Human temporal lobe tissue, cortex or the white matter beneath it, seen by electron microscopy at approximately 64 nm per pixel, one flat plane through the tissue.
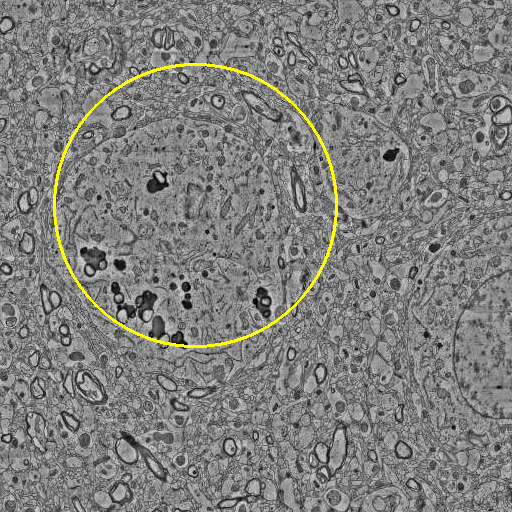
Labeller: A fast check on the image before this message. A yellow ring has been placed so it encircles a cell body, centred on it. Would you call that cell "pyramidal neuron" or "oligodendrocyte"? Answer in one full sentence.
In this image, a pyramidal neuron is the cell on which the yellow ring is centred.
